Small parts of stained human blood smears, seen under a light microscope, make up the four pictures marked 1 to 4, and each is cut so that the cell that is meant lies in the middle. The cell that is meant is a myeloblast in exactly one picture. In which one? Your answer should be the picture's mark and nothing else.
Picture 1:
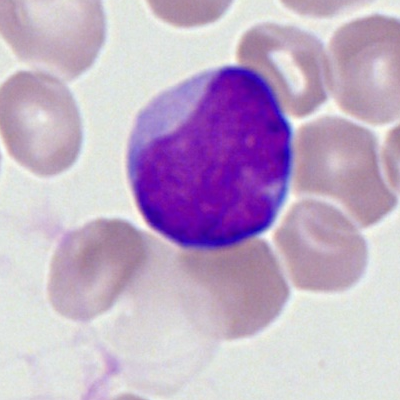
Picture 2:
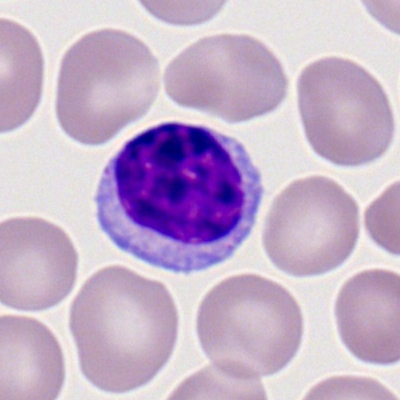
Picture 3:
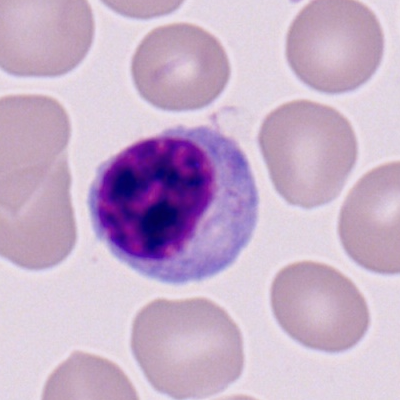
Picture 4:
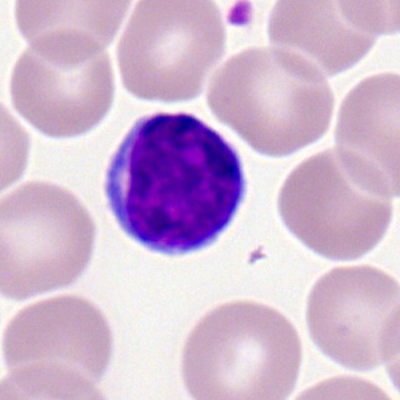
1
